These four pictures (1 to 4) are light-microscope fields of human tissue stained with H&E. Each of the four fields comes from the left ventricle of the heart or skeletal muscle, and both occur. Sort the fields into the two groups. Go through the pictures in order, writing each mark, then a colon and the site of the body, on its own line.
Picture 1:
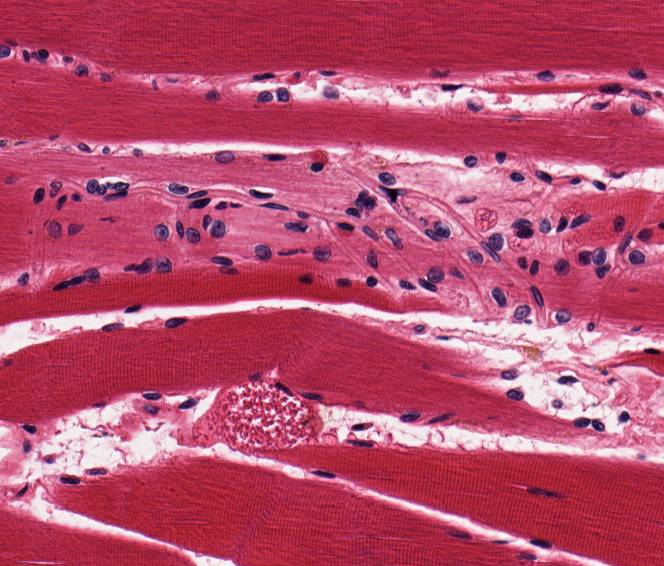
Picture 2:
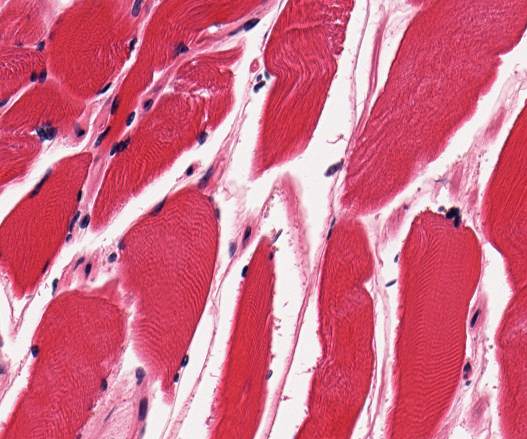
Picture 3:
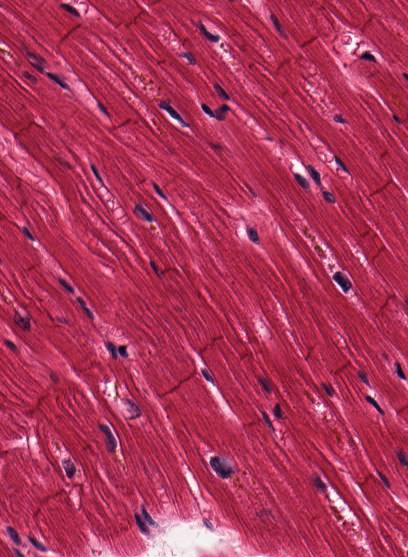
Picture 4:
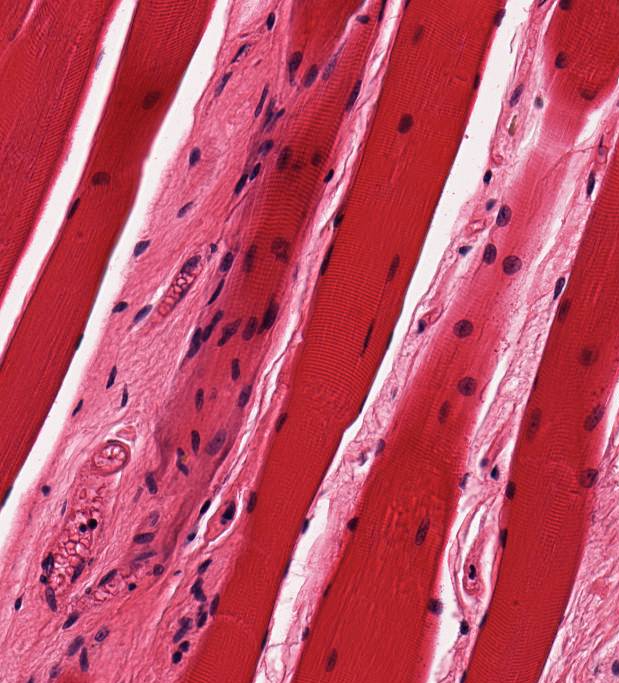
1: skeletal muscle
2: skeletal muscle
3: left ventricle of the heart
4: skeletal muscle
